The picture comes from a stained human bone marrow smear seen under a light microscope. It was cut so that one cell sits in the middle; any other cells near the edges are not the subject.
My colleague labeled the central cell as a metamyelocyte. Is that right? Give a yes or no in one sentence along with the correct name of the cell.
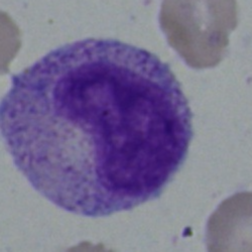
Yes, the middle cell is classified as a metamyelocyte.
